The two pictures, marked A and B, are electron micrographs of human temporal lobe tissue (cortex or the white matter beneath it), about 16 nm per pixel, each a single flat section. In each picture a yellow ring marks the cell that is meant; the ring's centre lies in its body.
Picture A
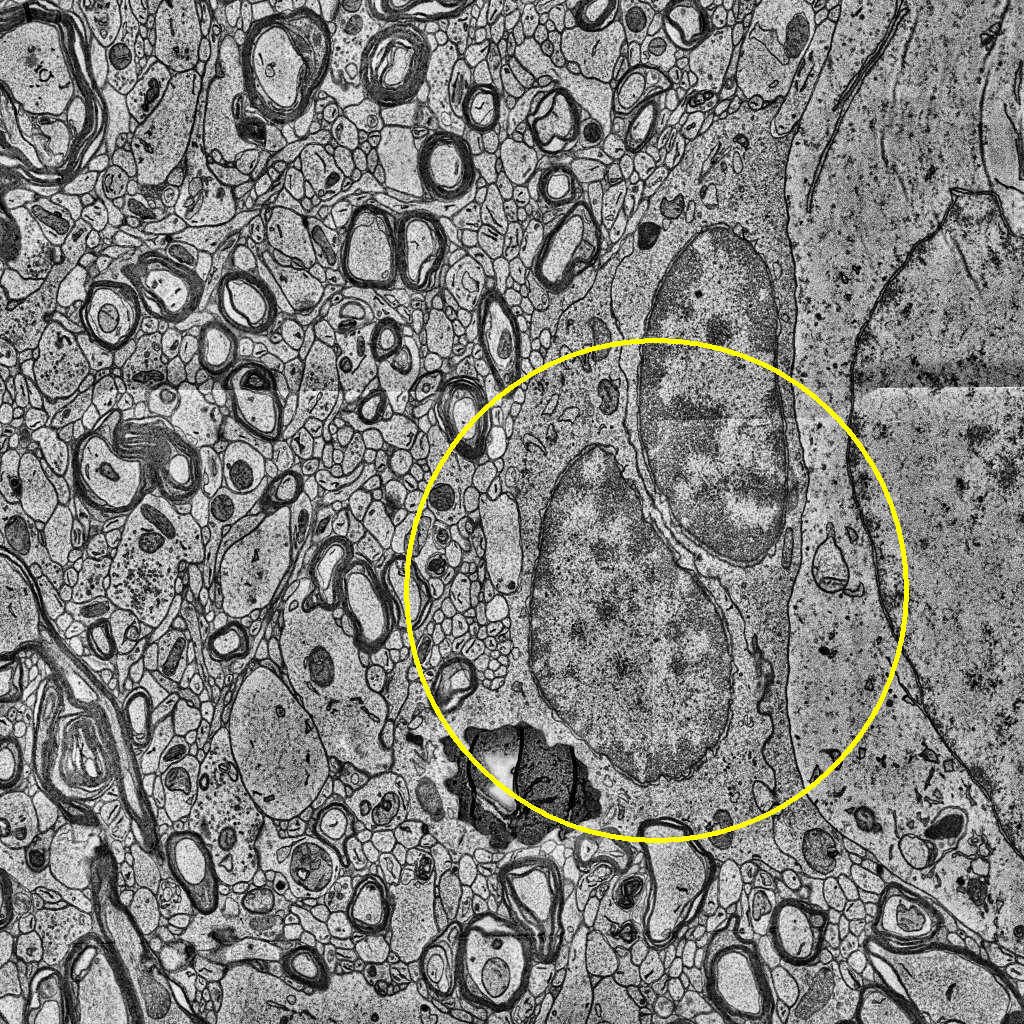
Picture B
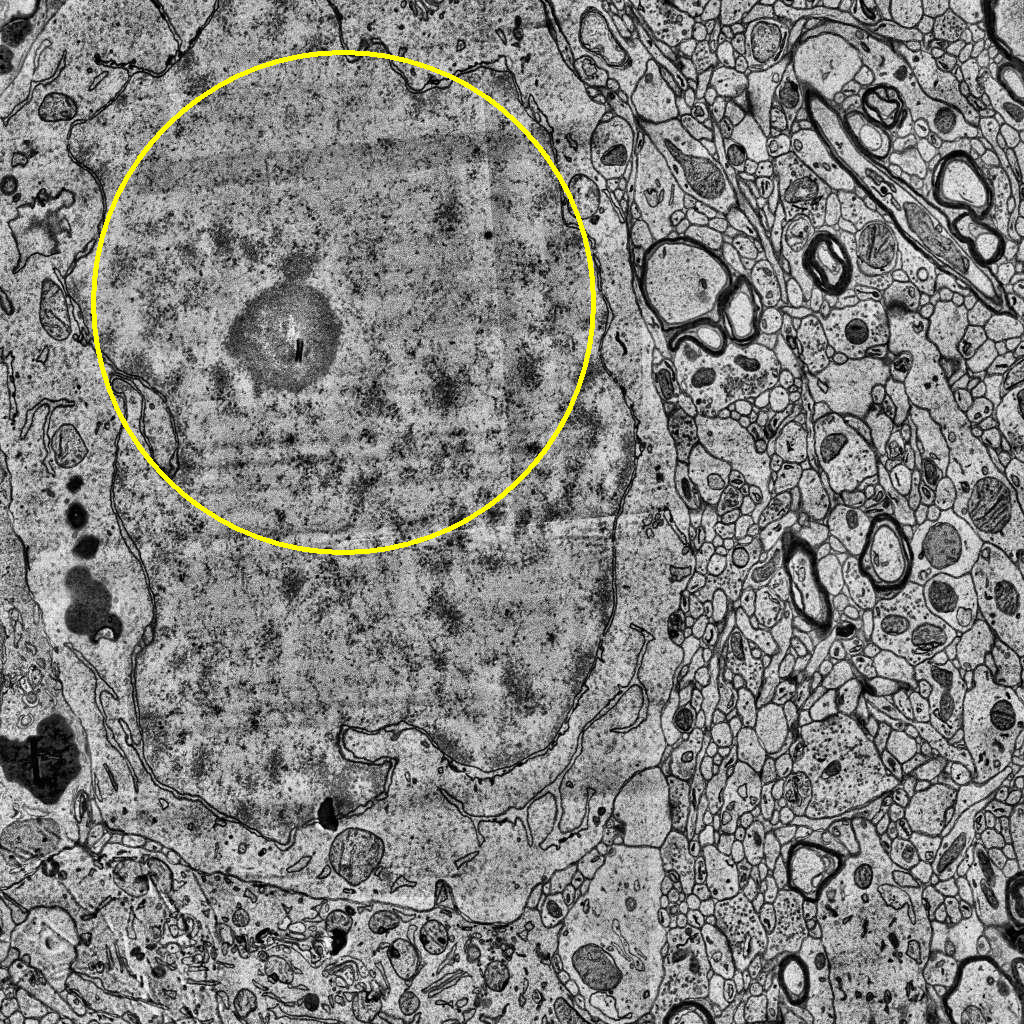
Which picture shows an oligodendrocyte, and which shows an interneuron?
Picture B shows an interneuron, while picture A shows an oligodendrocyte.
